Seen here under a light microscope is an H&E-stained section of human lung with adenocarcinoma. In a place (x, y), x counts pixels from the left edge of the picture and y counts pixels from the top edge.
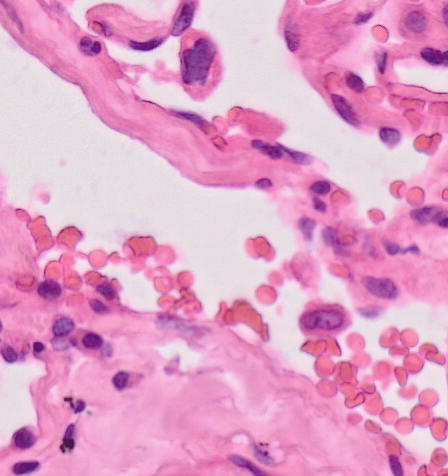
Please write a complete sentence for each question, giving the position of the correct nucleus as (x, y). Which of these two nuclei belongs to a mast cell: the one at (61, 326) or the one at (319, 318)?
The nucleus at (61, 326) is the one of the two that belongs to a mast cell.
